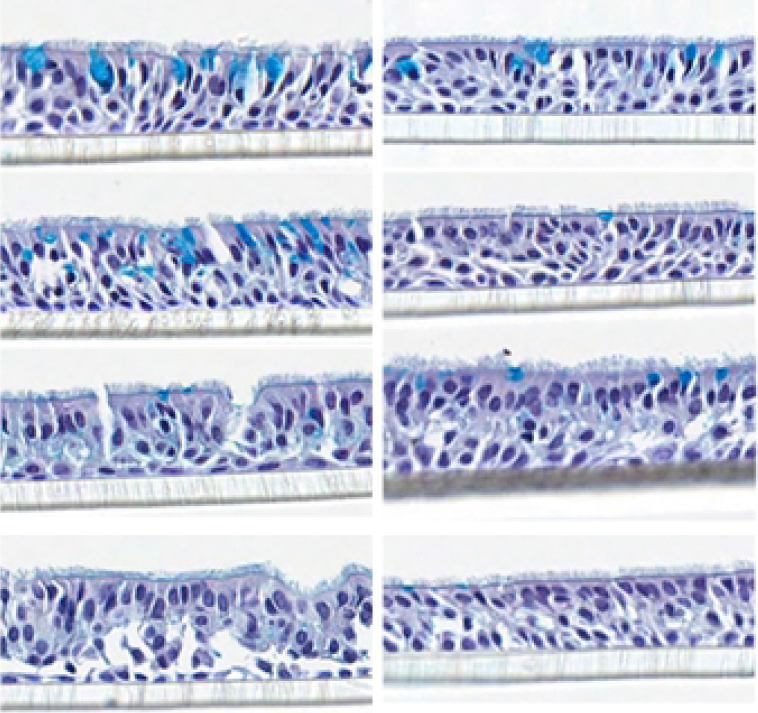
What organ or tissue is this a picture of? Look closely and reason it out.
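Several layers of nuclei at different heights within one epithelial sheet. Columnar cells reach the apical surface, which carries a fringe of cilia. The epithelium rests on a thin porous support membrane. That points to this answer: pseudostratified epithelium.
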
